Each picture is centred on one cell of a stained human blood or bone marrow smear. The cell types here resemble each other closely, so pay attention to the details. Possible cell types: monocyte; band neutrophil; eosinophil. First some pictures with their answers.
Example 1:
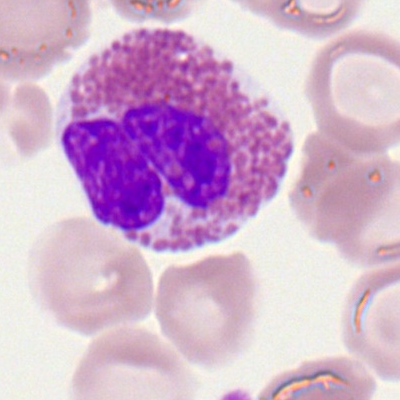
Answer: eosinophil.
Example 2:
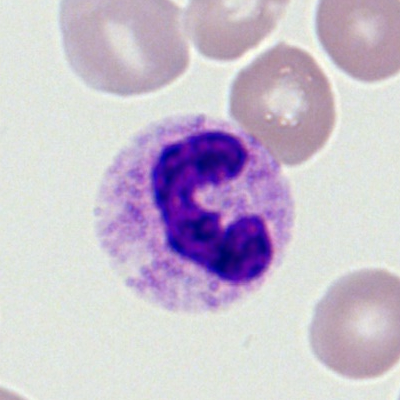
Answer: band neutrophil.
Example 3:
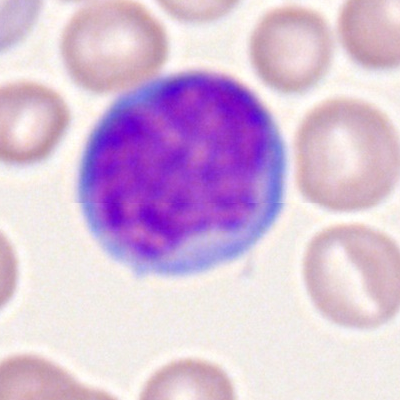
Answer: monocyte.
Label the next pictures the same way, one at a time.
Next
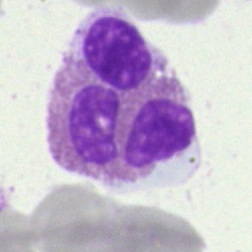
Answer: eosinophil.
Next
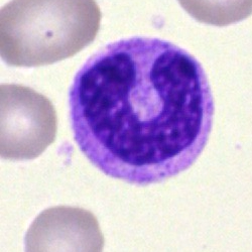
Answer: band neutrophil.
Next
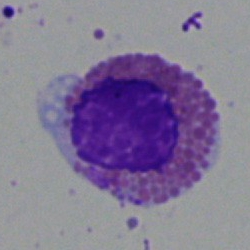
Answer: eosinophil.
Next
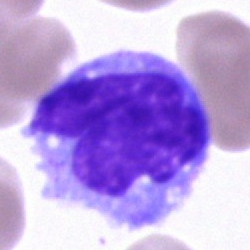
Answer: monocyte.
